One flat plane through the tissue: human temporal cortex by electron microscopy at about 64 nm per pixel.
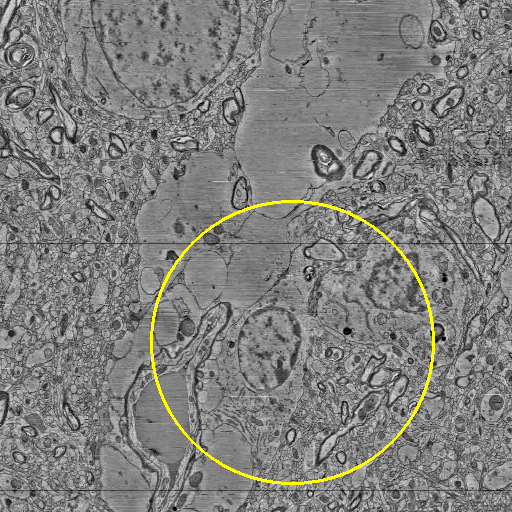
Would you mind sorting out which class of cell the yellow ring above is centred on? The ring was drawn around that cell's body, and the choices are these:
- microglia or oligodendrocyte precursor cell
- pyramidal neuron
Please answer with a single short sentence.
This is the cell body of a microglial cell or oligodendrocyte precursor cell.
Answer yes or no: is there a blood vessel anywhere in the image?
Yes, one shows.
